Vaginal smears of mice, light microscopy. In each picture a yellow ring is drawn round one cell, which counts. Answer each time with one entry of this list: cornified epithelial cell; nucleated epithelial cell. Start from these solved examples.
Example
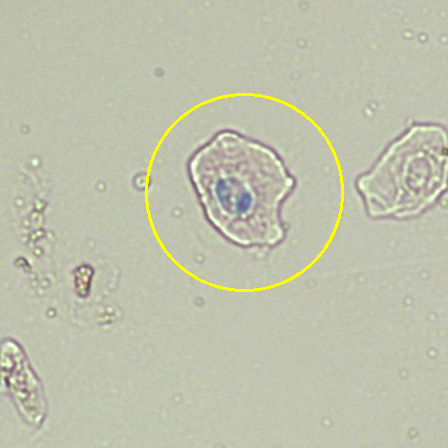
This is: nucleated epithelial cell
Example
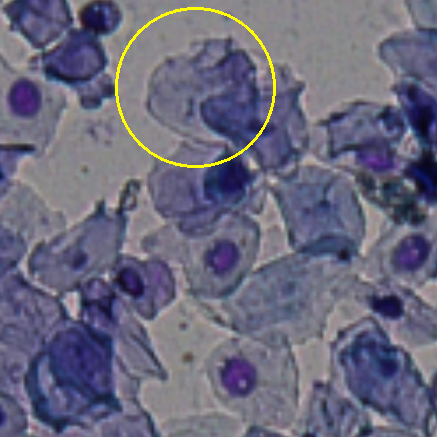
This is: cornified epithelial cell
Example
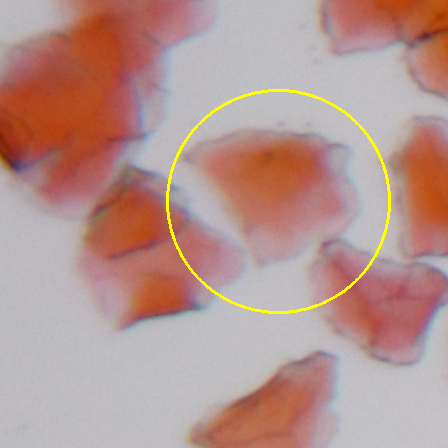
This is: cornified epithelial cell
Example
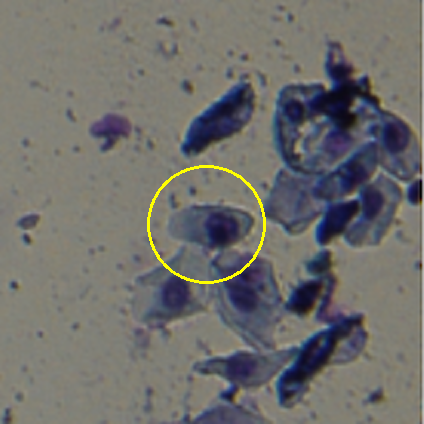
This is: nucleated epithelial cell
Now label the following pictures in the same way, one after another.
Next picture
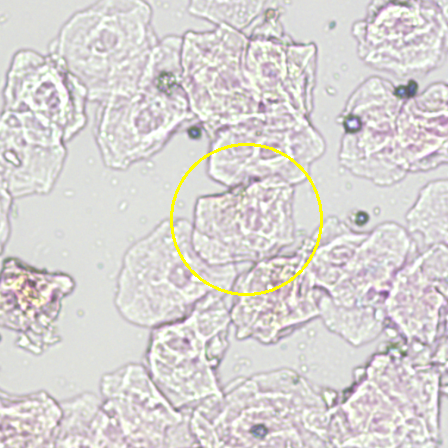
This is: cornified epithelial cell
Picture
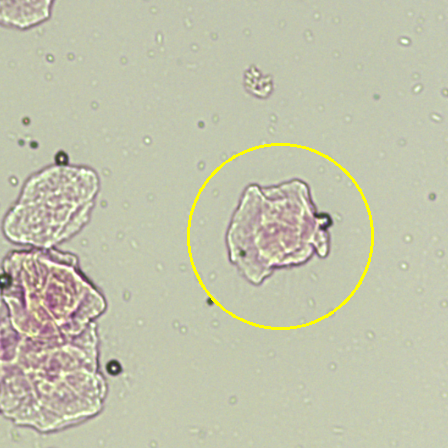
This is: cornified epithelial cell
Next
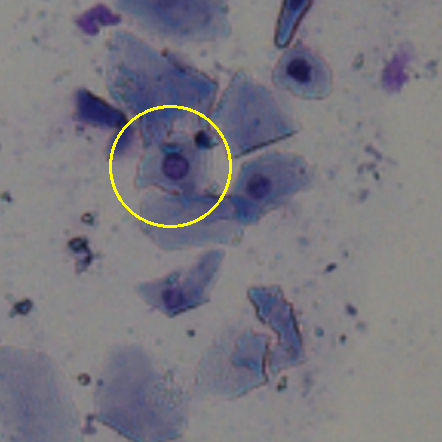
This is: nucleated epithelial cell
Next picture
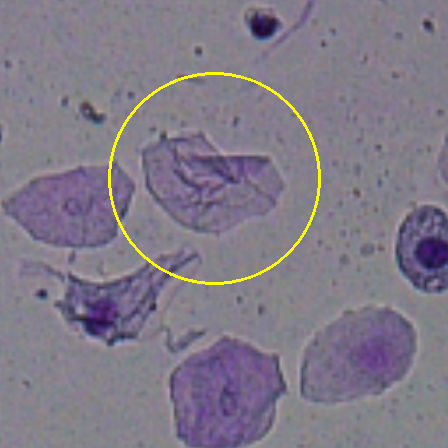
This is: cornified epithelial cell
